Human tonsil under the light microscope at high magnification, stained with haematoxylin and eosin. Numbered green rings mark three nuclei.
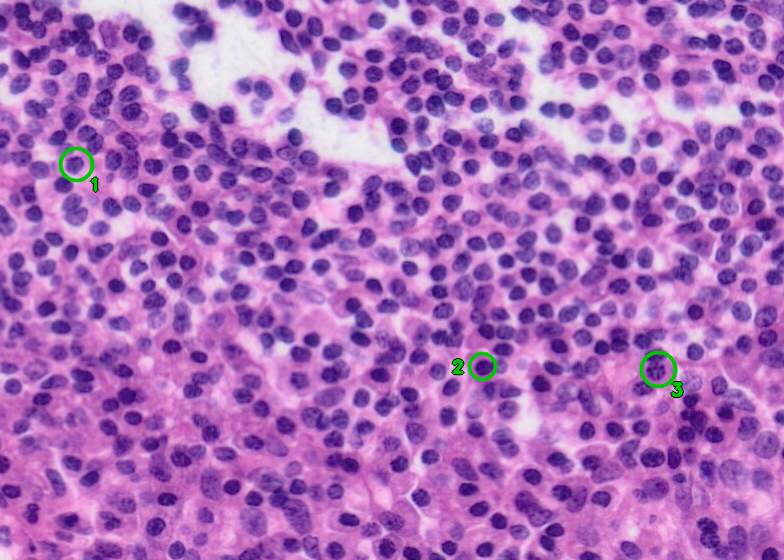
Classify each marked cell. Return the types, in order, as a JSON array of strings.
["small lymphocyte", "plasma cell", "plasma cell"]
